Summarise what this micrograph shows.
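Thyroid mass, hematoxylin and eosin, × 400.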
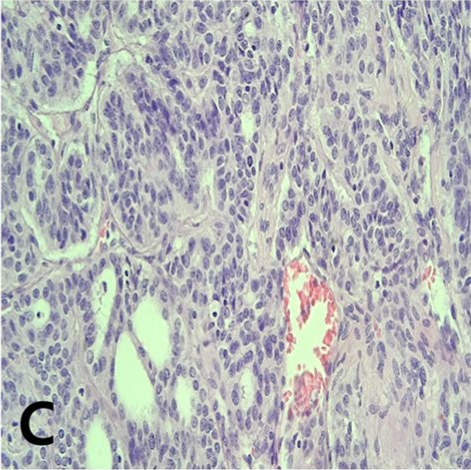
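The nuclei are oval to round, purple and fairly evenly stained, and they sit closely together with only a modest rim of pale pink cytoplasm around them. Some nuclei are slightly elongated where the cells stream along the septa. Scattered rounded empty spaces and a small vessel filled with red blood cells lie between the cell groups. The cells form solid clusters rather than lining colloid-filled follicles.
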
